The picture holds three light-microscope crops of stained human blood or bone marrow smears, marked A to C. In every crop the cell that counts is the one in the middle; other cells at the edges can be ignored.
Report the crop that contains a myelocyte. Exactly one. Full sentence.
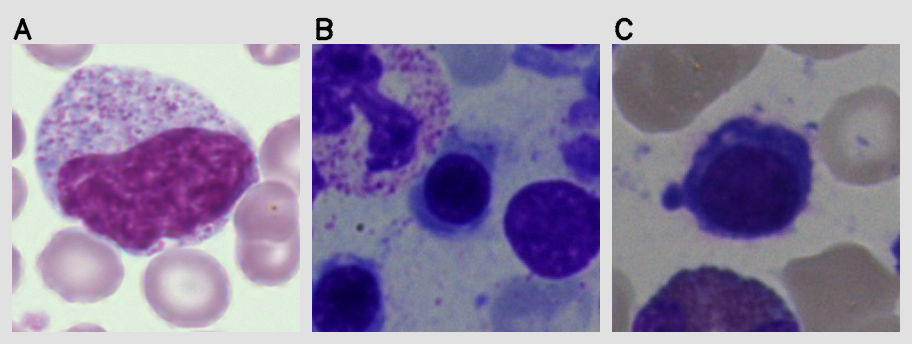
Crop A, and no other, is the one that shows a myelocyte.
